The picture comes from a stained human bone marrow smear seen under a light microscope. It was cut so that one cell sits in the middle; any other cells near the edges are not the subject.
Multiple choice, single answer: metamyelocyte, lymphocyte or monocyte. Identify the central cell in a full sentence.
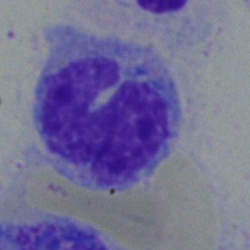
Seen at the centre of the crop is a monocyte.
